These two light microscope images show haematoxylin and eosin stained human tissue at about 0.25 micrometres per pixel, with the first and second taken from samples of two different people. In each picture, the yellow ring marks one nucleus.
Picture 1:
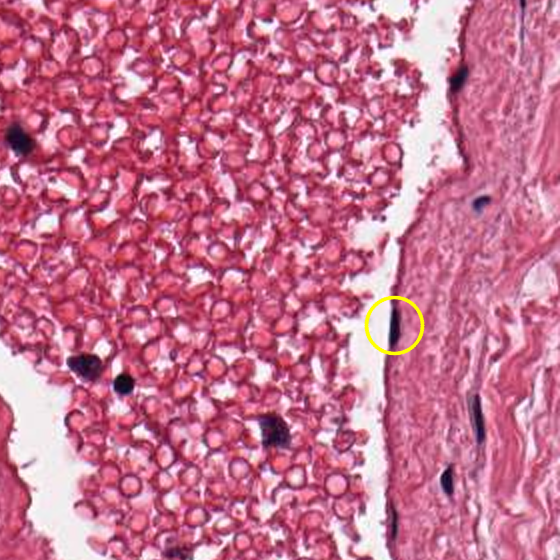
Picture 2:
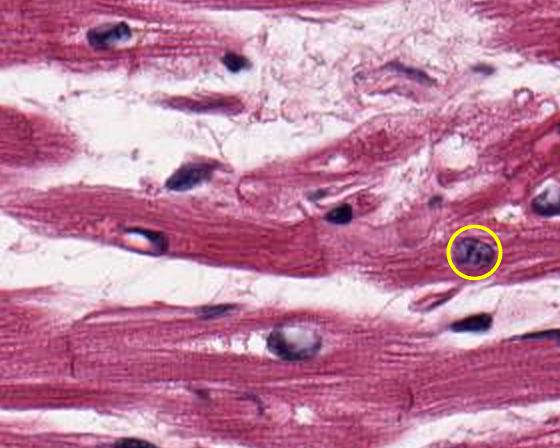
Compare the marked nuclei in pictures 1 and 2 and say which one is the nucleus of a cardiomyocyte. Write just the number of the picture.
2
